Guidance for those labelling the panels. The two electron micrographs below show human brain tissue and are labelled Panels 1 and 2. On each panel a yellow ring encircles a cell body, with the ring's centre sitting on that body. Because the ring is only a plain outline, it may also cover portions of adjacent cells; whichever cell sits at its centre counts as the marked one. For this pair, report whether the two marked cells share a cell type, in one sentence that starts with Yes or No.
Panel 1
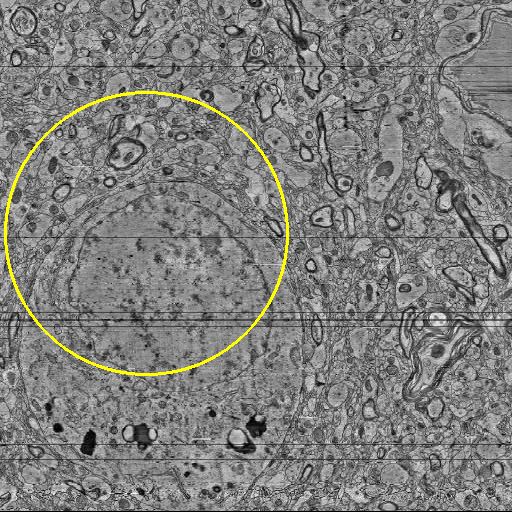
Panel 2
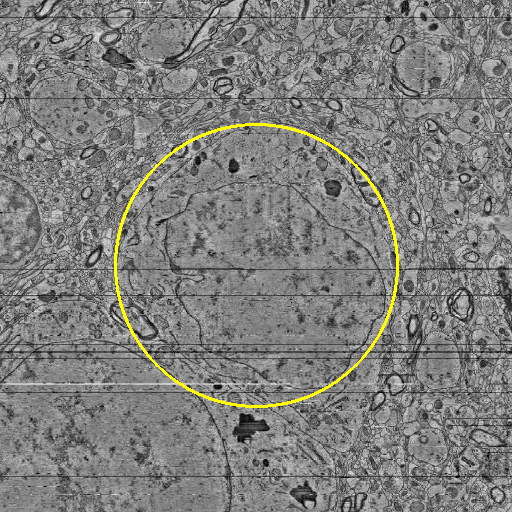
Yes, in Panel 1 and Panel 2 the marked cells at the ring centres share one type.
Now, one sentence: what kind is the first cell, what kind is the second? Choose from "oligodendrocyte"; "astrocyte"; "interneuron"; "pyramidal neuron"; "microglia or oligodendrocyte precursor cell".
Each cell, in the first picture and the second, is a pyramidal neuron.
